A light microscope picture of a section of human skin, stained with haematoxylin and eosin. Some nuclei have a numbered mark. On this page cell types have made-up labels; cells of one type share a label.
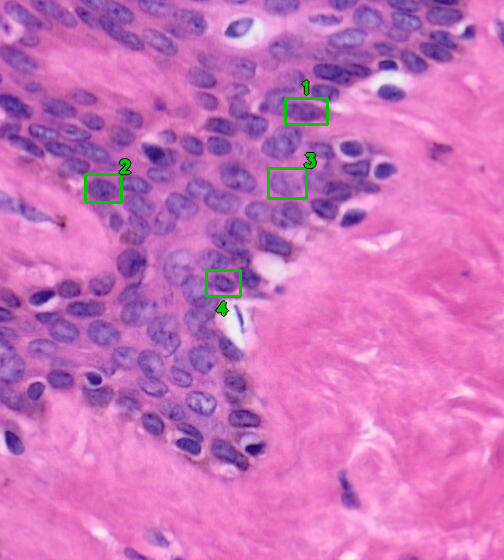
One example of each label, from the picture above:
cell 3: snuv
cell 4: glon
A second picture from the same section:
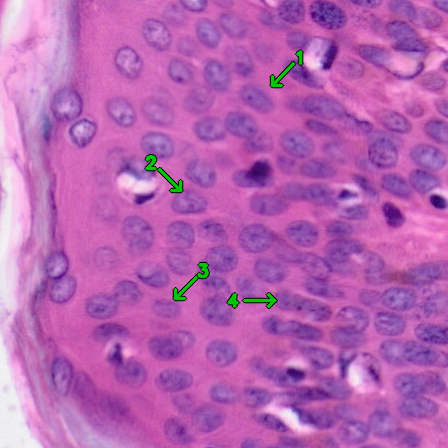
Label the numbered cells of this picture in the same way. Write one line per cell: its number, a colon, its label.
1: snuv
2: snuv
3: snuv
4: glon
